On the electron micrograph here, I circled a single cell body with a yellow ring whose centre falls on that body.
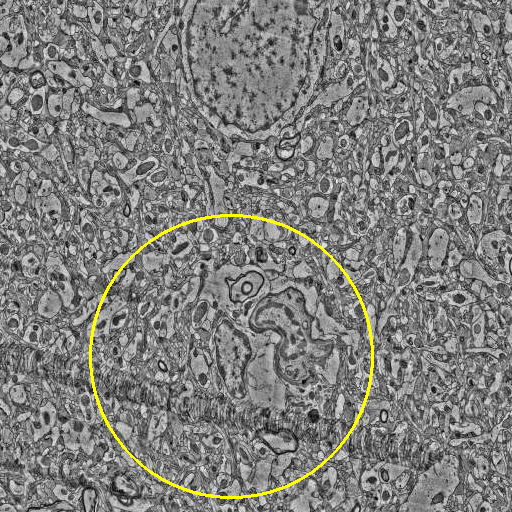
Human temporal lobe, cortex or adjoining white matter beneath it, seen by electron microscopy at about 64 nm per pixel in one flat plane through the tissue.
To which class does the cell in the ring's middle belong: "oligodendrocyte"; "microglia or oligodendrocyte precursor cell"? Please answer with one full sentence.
In this picture, the cell body circled at the ring's centre belongs to a microglial cell or oligodendrocyte precursor cell.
